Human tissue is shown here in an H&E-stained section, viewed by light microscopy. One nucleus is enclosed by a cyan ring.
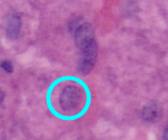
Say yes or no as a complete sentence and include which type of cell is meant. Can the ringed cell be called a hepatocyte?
Yes, in terms of cell type, the ringed cell is a hepatocyte.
